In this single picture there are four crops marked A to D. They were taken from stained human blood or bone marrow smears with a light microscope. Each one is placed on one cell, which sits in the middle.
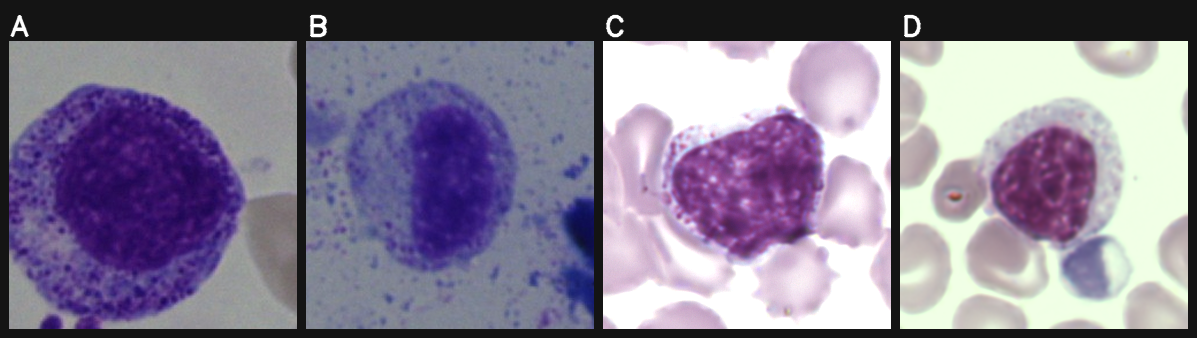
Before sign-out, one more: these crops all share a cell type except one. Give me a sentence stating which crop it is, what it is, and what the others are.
In crop D the central cell is a metamyelocyte, whereas the other crops all contain myelocytes.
